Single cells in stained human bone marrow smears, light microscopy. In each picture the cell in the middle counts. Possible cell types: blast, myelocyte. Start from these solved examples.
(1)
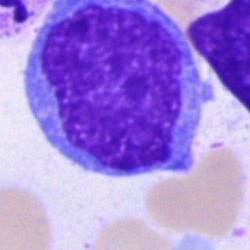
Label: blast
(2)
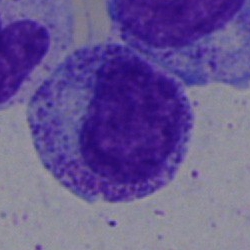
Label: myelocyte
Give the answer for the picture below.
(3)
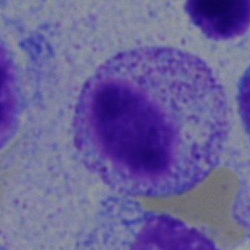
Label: myelocyte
